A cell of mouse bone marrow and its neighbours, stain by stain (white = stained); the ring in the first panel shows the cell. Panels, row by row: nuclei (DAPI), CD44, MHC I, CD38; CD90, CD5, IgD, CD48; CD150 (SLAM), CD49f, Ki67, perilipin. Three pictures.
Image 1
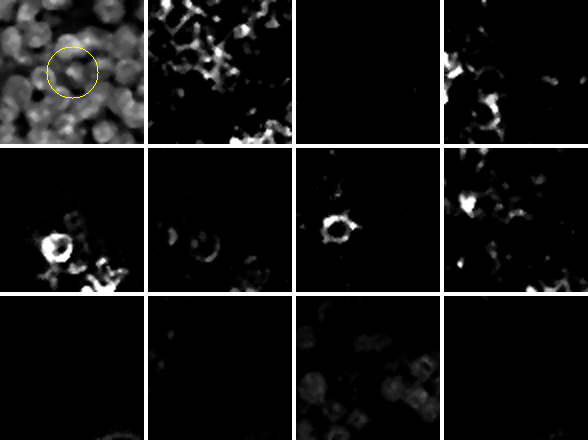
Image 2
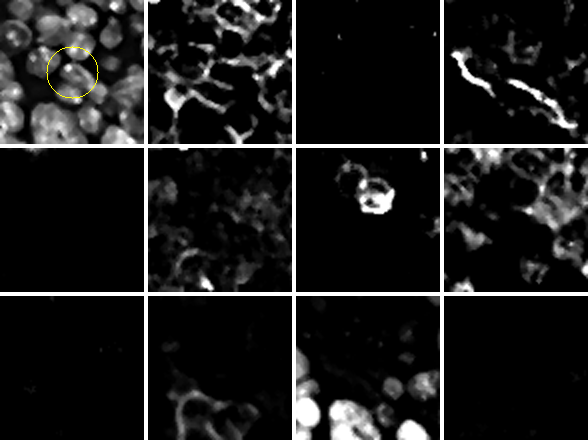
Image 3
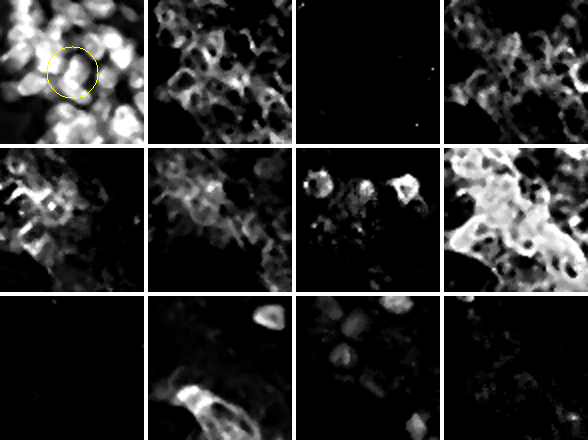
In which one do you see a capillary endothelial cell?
In picture 2.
